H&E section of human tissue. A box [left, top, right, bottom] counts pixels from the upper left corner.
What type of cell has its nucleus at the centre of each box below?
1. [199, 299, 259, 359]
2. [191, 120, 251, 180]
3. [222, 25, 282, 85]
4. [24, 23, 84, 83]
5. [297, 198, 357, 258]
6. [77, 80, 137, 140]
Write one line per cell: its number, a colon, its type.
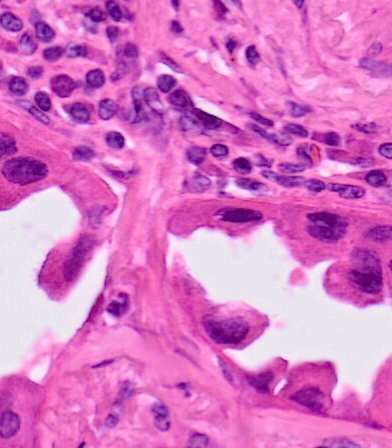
1: carcinoma cell
2: lymphocyte
3: plasma cell
4: lymphocyte
5: carcinoma cell
6: lymphocyte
